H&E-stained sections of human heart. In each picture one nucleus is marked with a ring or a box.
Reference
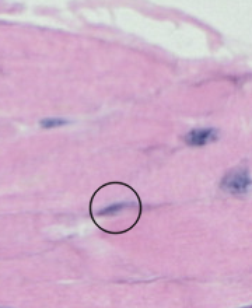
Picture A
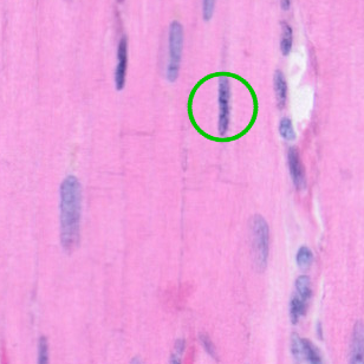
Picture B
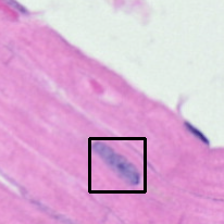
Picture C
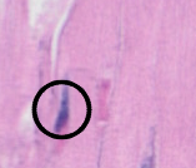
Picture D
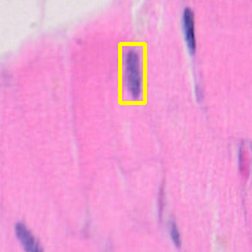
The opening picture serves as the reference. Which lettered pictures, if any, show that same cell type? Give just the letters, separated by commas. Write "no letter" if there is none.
A, C, D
